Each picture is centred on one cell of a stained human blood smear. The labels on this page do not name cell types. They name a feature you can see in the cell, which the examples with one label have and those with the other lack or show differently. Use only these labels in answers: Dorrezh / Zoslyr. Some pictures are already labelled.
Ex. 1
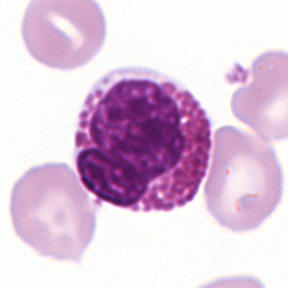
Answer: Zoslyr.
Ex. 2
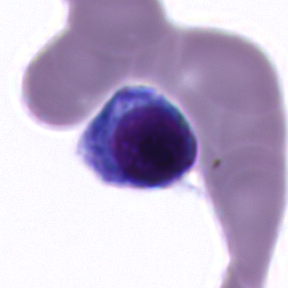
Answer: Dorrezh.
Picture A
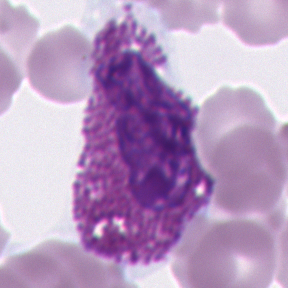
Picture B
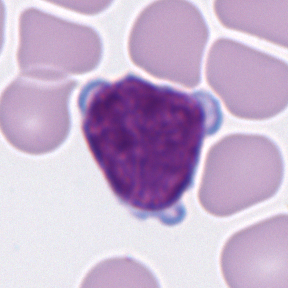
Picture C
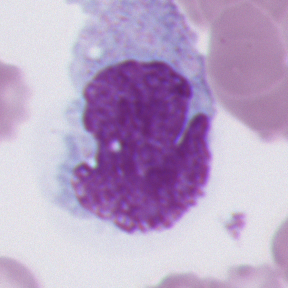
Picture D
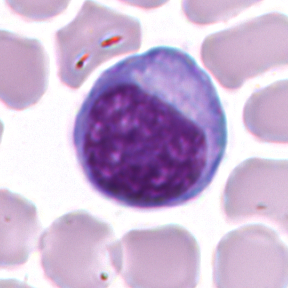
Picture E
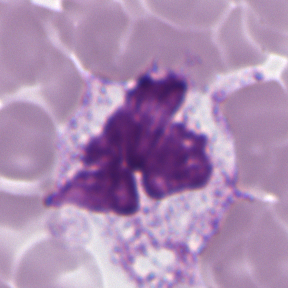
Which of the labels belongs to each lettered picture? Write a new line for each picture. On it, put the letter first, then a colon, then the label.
A: Dorrezh.
B: Dorrezh.
C: Dorrezh.
D: Zoslyr.
E: Dorrezh.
